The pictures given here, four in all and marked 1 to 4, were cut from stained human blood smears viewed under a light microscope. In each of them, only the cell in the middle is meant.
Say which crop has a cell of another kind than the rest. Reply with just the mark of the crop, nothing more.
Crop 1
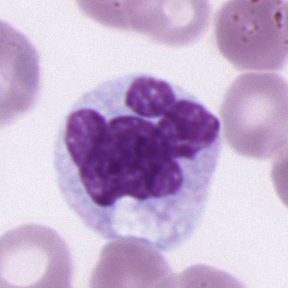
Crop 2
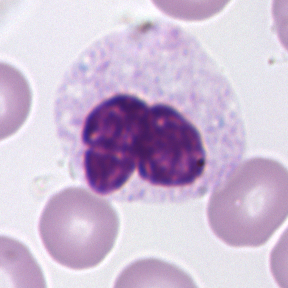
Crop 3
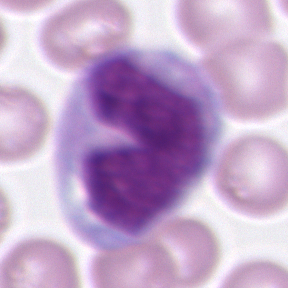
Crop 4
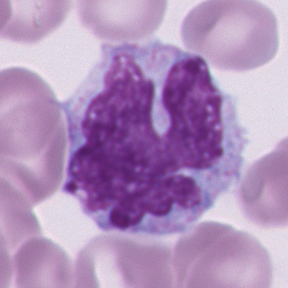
2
